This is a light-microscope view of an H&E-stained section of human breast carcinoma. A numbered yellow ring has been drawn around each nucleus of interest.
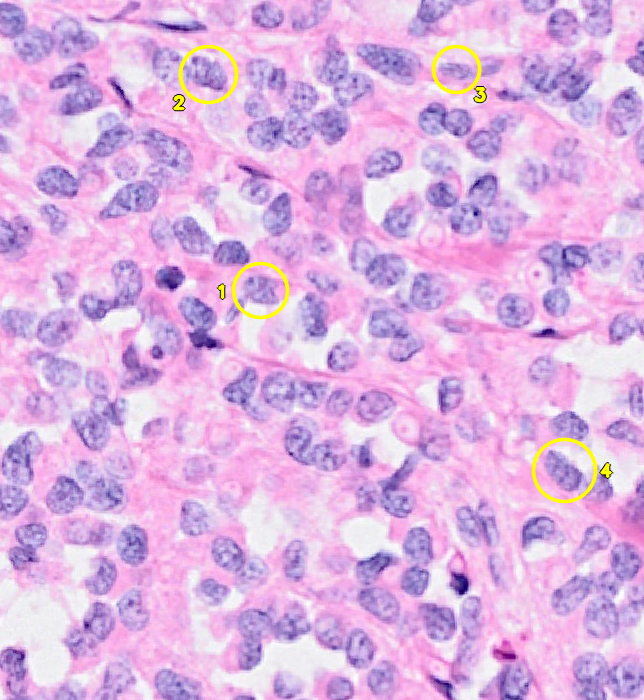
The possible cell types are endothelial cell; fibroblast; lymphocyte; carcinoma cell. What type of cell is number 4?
carcinoma cell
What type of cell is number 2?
carcinoma cell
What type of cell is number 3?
endothelial cell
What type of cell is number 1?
carcinoma cell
